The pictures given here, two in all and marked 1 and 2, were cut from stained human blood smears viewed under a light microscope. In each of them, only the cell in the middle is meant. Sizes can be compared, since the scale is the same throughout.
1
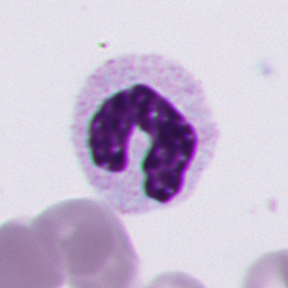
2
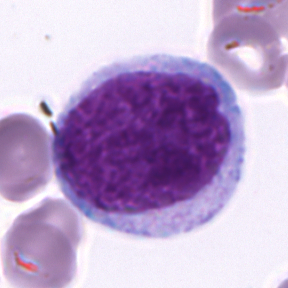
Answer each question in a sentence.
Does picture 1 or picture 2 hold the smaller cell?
Picture 1 holds the smaller cell, since the cell in picture 2 covers about 1.5 times as much area.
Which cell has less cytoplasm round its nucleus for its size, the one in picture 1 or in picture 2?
It is the cell in picture 2 that is filled more by its nucleus.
